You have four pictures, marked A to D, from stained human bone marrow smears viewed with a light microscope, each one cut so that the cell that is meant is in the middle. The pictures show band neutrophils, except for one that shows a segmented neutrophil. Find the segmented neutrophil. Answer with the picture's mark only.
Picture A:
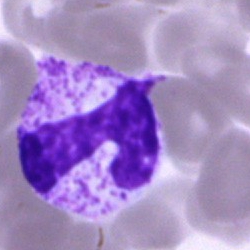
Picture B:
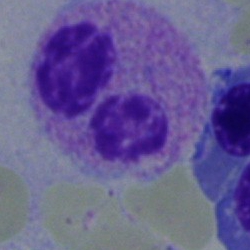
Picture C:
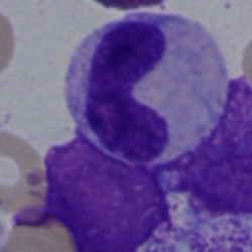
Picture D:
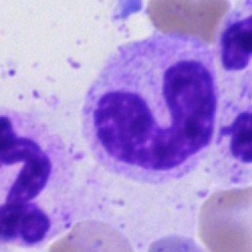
B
